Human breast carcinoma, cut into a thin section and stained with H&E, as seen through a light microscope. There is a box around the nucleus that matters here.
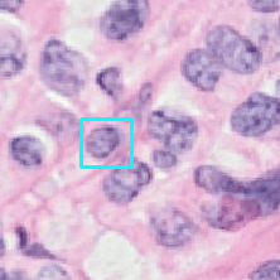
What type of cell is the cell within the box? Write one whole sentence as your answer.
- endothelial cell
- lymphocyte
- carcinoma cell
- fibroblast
Students should answer that the cell within the box is a carcinoma cell.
